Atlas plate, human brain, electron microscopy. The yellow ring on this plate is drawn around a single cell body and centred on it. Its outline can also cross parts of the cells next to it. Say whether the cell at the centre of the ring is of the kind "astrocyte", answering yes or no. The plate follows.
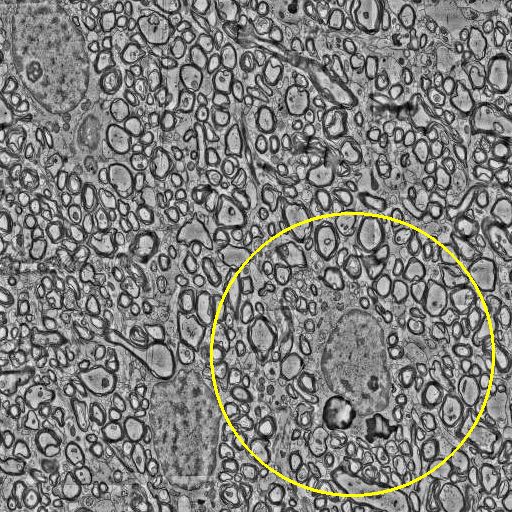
No, the cell is of another kind.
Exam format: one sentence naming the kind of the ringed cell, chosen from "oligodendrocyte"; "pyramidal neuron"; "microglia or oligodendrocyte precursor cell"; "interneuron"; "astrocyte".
Instead, the picture shows an oligodendrocyte at the centre of the ring.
